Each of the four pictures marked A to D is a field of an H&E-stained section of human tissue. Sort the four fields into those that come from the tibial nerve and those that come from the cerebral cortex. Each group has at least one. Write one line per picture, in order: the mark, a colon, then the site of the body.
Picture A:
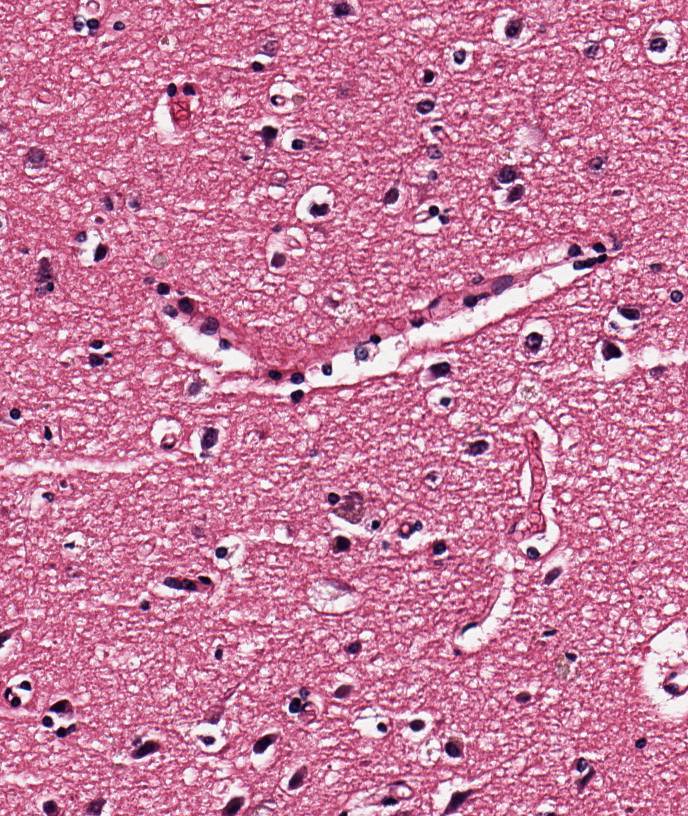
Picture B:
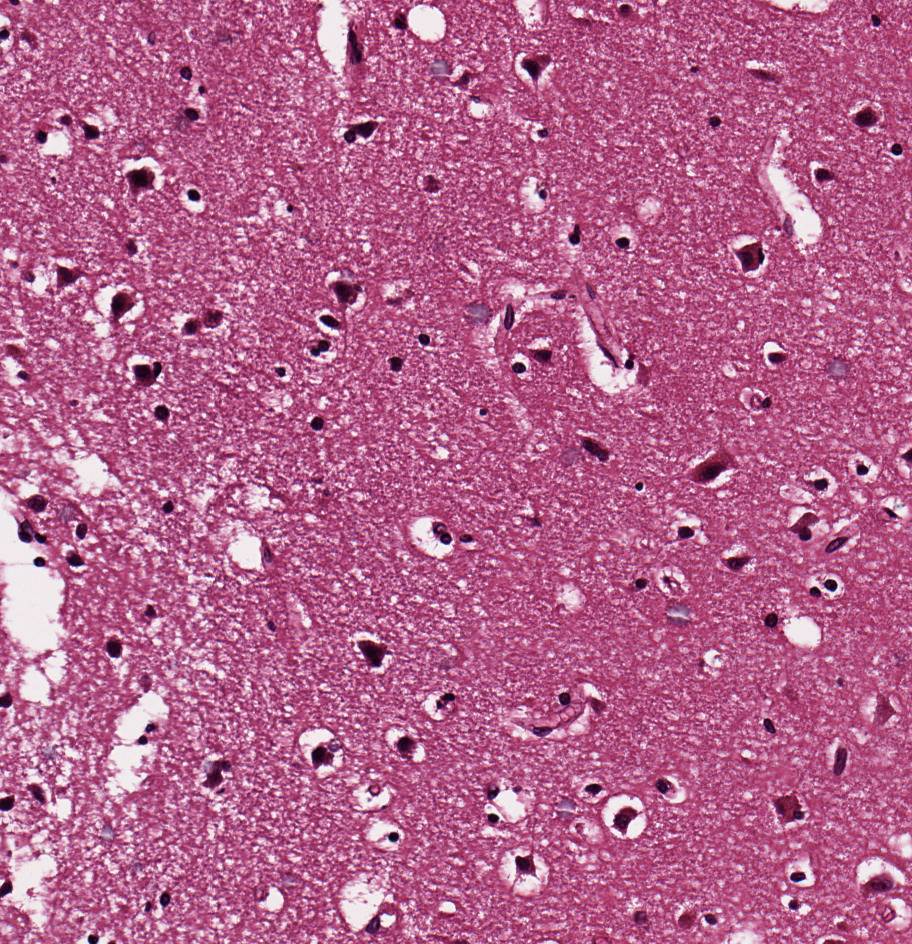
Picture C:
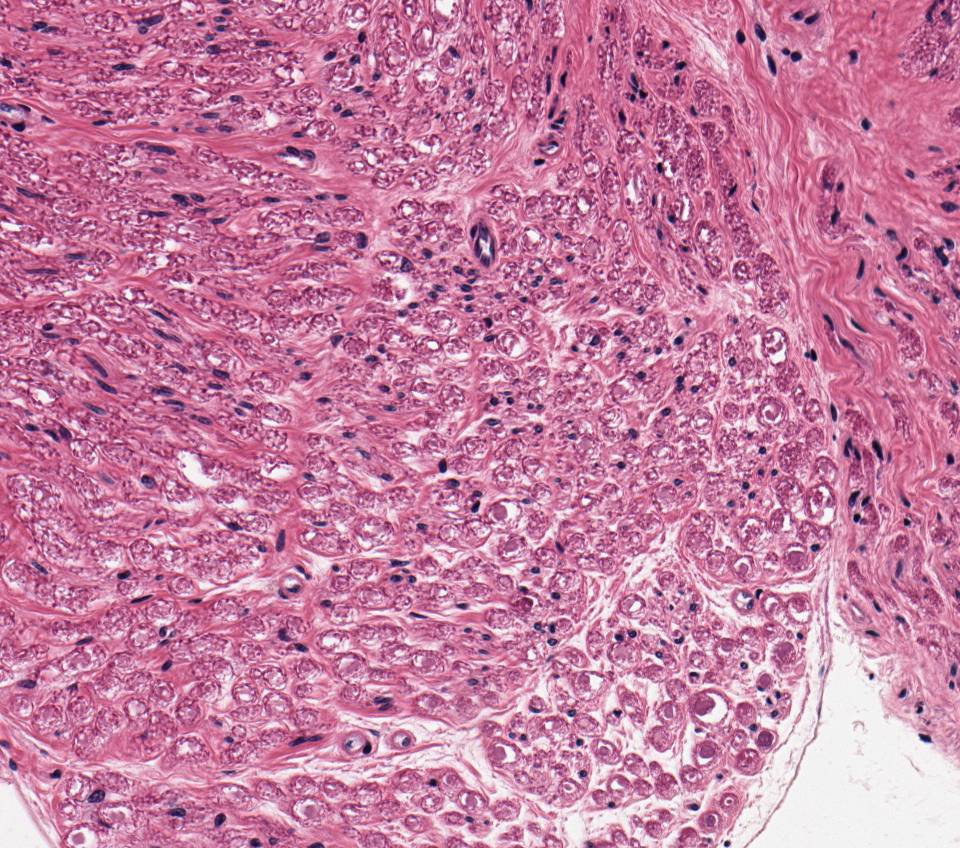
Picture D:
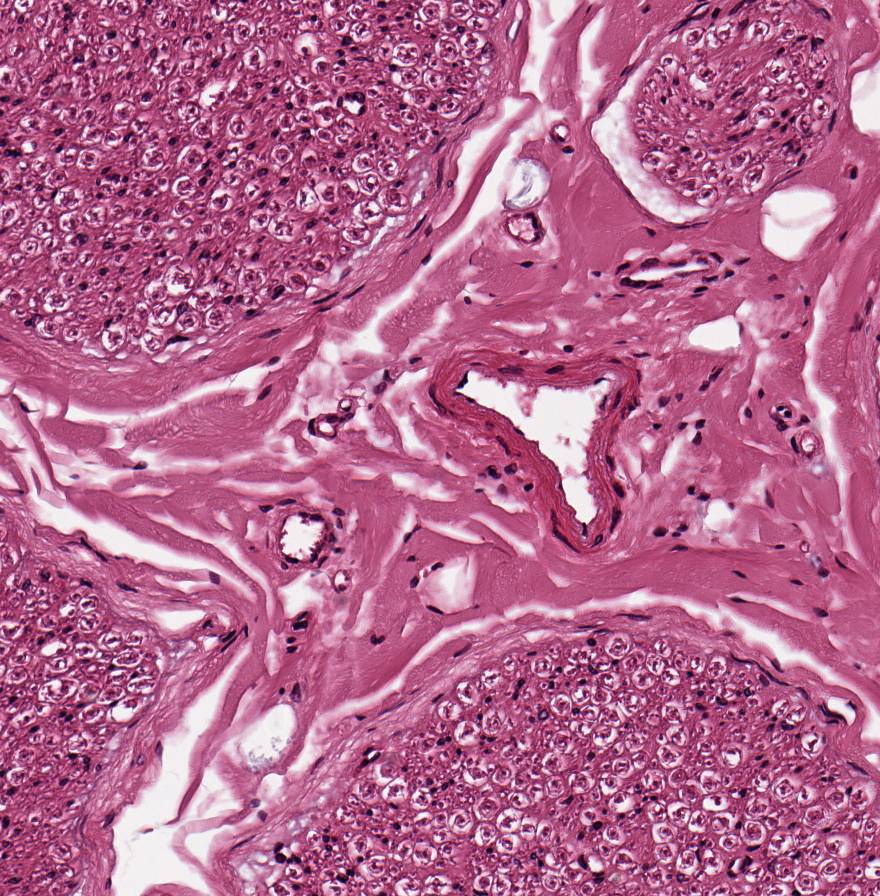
A: cerebral cortex
B: cerebral cortex
C: tibial nerve
D: tibial nerve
